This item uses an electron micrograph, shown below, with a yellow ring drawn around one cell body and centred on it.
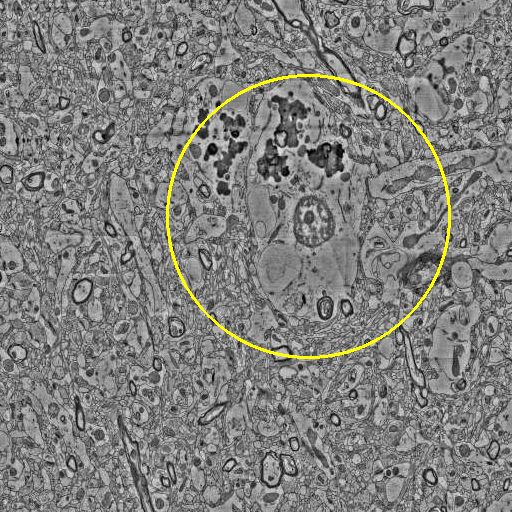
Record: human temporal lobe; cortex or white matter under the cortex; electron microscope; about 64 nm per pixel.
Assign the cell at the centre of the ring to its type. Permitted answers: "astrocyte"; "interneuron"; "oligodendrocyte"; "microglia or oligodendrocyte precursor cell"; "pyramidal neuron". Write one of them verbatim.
astrocyte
